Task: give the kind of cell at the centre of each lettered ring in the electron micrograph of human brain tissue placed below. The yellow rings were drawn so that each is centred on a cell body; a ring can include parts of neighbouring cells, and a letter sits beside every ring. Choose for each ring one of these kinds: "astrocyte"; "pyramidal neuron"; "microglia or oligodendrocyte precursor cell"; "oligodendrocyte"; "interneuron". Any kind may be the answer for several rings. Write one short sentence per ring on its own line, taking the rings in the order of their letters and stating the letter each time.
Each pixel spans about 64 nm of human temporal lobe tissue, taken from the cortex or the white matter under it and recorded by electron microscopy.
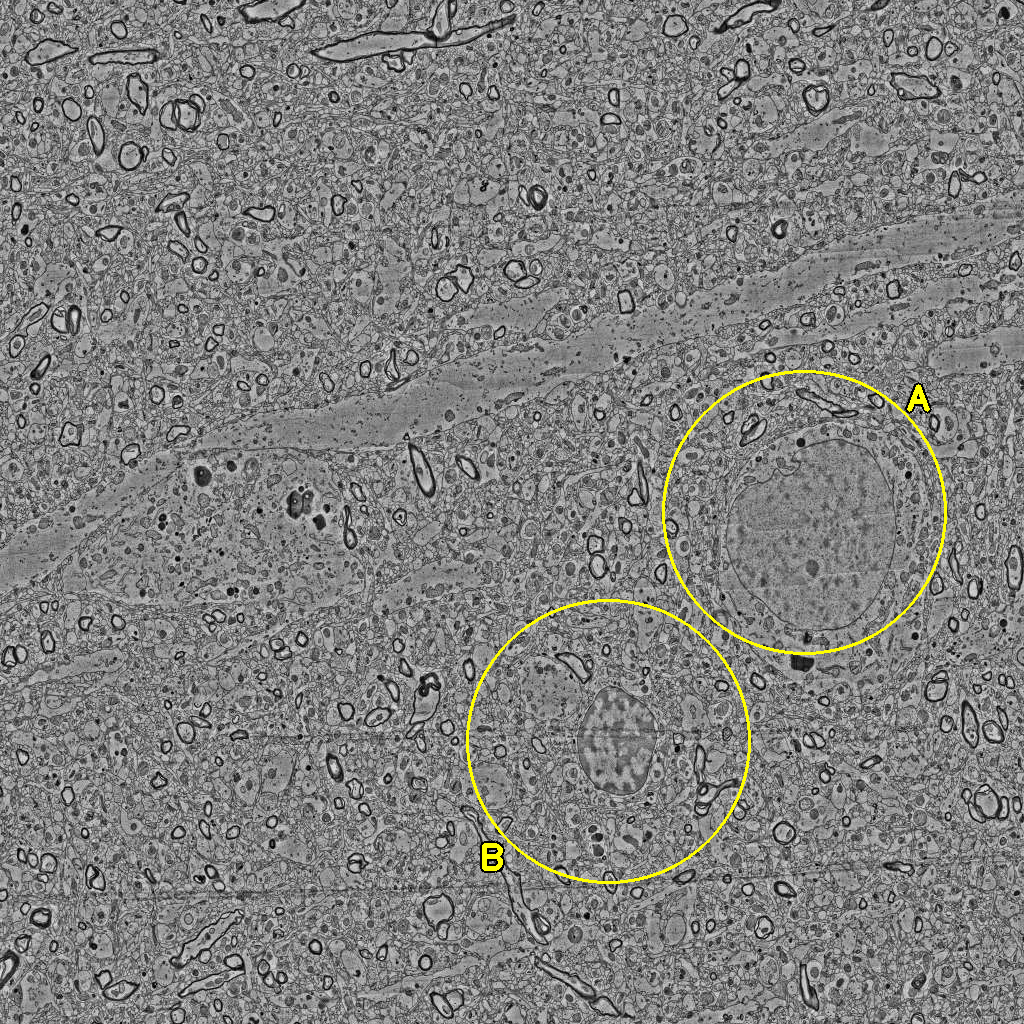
The yellow ring marked A surrounds a pyramidal neuron.
The yellow ring marked B surrounds a microglial cell or oligodendrocyte precursor cell.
